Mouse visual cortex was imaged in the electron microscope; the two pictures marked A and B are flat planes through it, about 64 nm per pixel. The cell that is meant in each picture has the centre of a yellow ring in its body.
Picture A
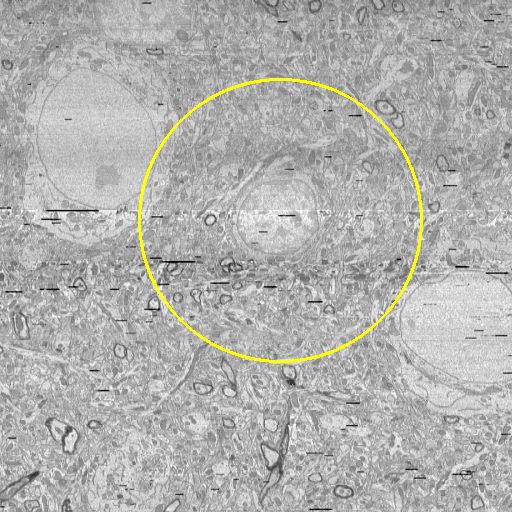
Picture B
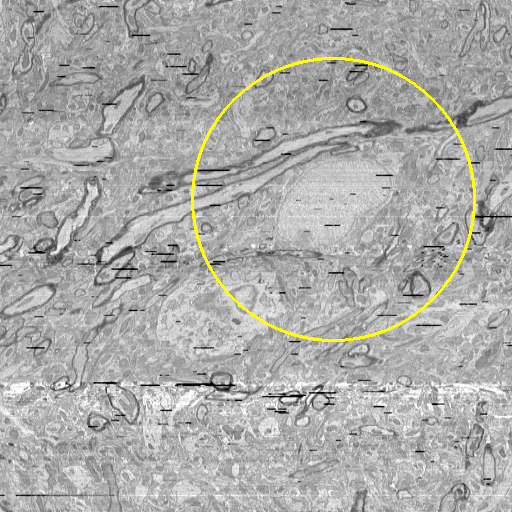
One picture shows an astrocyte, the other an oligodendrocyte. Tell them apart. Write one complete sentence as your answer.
Picture A is of an oligodendrocyte, and picture B is of an astrocyte.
